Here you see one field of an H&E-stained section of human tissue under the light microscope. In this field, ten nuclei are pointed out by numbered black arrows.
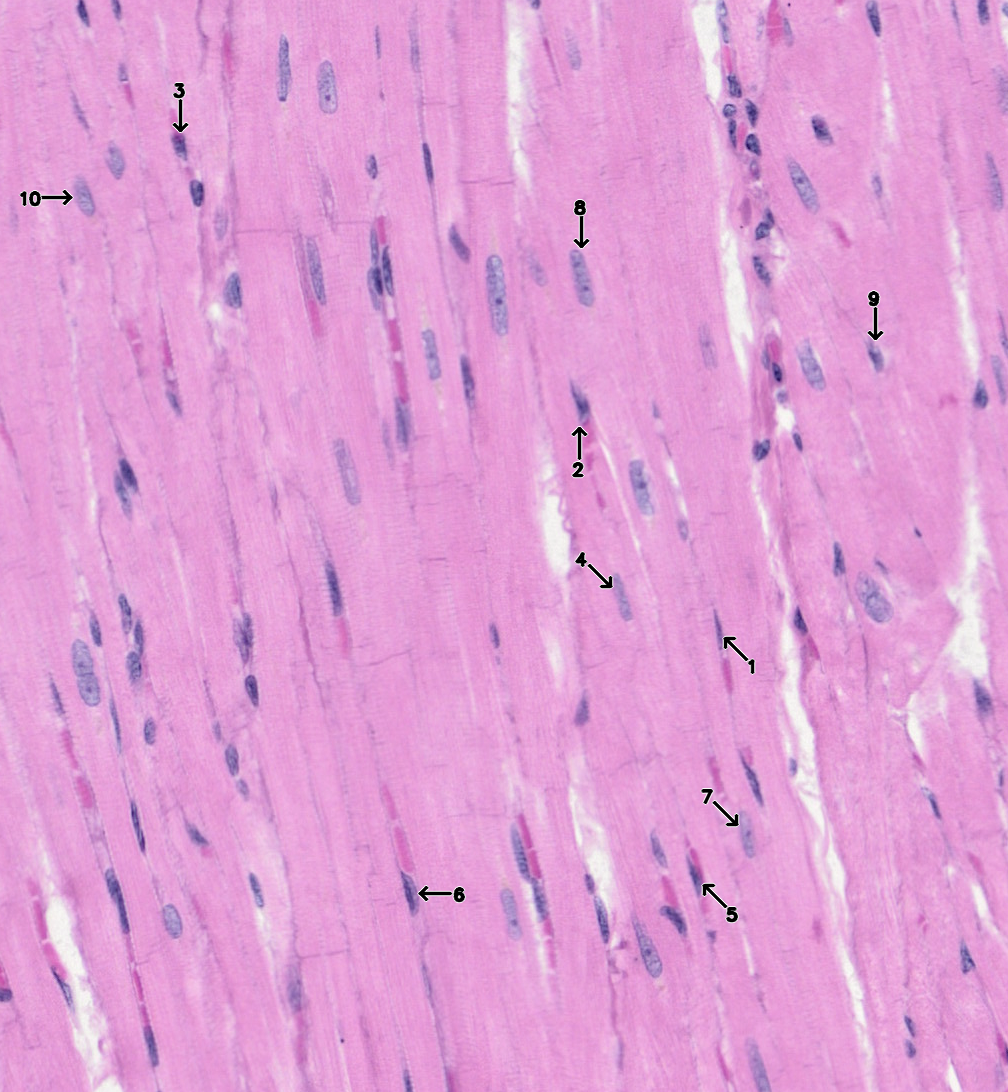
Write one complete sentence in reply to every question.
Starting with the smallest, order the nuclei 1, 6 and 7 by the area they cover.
By area, going up from the smallest, they rank 1, 6, 7.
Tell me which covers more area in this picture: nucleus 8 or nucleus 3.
Of the two, number 8 is bigger and takes up about 2 times the area of number 3.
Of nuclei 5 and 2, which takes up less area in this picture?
The smaller nucleus is 5, and 2 covers roughly 1.5 times its area.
